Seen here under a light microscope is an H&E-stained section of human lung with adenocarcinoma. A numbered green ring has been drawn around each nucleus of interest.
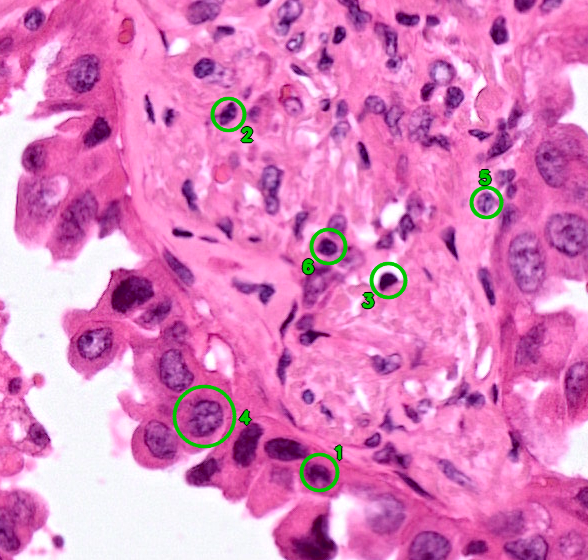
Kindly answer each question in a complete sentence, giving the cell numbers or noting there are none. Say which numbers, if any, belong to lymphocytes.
As for the cells numbered 2, 3, 5 and 6, they are lymphocytes.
